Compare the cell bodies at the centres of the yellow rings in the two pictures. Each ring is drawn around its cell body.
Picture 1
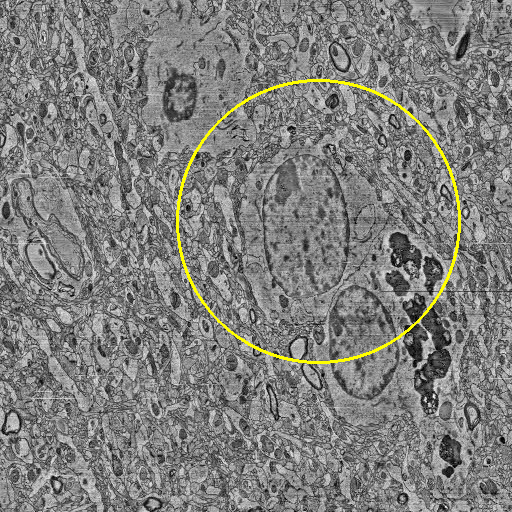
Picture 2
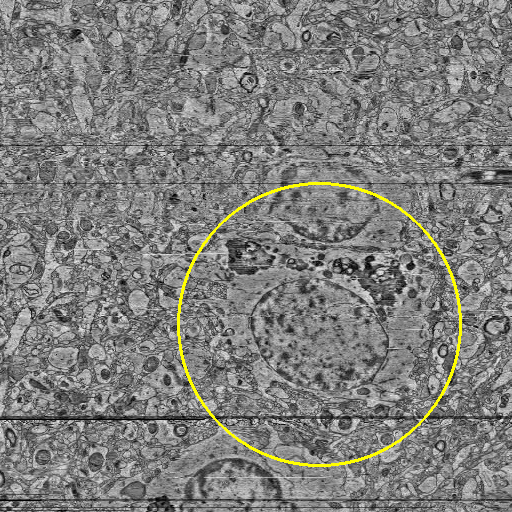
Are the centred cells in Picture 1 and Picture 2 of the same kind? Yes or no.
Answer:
yes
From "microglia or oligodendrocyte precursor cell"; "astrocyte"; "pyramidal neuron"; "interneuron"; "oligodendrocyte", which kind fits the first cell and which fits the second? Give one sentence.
In each of the two pictures, the ringed cell is an astrocyte.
